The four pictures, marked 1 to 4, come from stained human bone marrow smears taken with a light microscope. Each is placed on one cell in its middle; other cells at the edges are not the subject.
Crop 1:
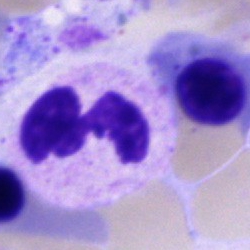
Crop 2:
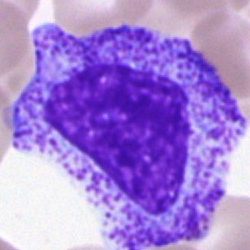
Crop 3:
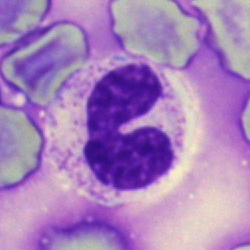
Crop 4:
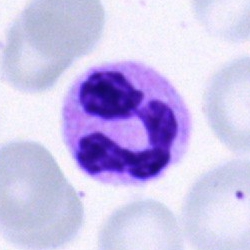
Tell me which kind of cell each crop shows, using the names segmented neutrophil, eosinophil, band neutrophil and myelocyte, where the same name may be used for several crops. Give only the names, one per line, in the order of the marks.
segmented neutrophil
myelocyte
band neutrophil
segmented neutrophil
